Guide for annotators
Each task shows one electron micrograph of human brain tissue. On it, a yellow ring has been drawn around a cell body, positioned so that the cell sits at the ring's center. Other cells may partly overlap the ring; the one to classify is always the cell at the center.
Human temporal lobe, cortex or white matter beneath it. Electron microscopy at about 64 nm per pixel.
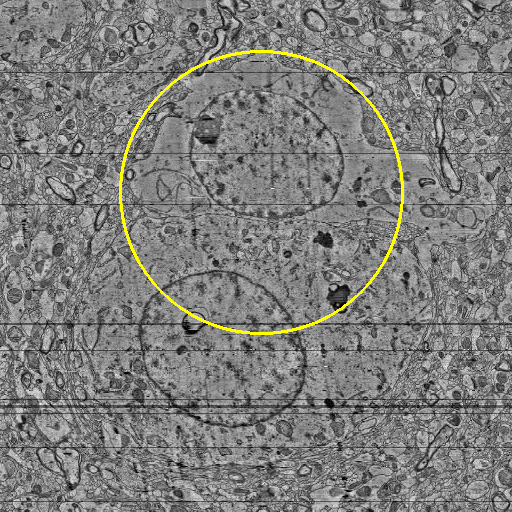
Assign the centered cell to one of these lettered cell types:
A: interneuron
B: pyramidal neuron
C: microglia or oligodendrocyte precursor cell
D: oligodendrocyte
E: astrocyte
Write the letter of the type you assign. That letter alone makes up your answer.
E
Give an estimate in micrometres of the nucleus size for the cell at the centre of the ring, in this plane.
In this plane, about 10 micrometres in length and 8 in width.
